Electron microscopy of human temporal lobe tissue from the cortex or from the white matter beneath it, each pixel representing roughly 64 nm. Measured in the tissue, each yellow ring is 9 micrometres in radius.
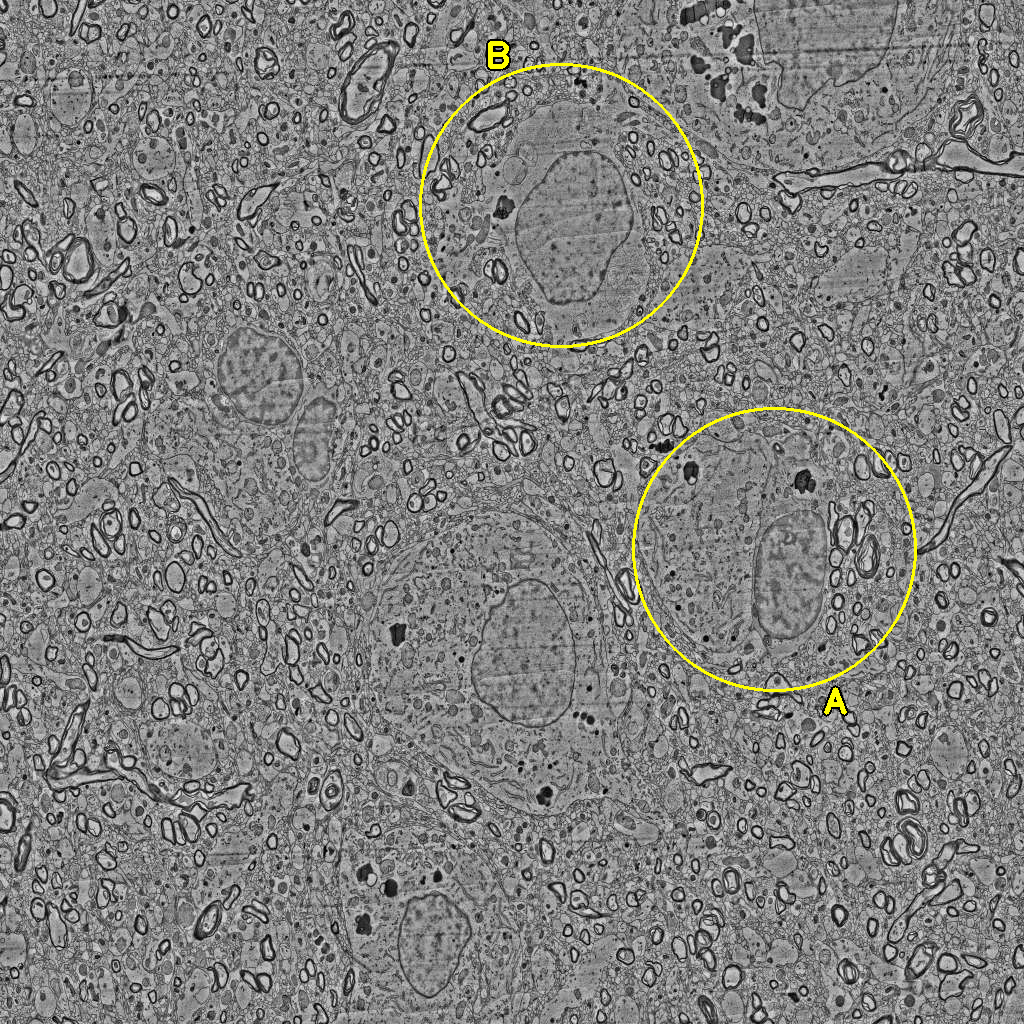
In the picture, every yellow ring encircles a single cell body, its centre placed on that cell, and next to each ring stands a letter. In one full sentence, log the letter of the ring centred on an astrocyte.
The ring with the requested cell at its centre bears the letter B.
